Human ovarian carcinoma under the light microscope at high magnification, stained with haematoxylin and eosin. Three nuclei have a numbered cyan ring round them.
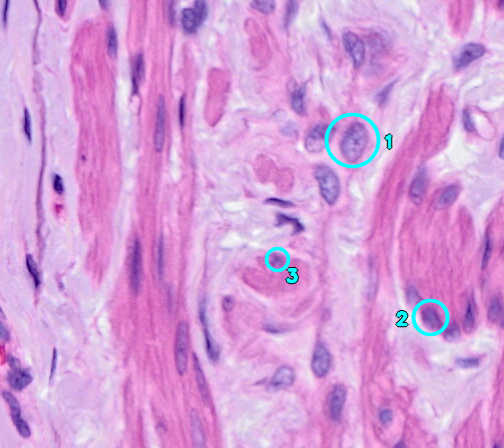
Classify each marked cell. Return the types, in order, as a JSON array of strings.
["endothelial cell", "smooth muscle cell", "smooth muscle cell"]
